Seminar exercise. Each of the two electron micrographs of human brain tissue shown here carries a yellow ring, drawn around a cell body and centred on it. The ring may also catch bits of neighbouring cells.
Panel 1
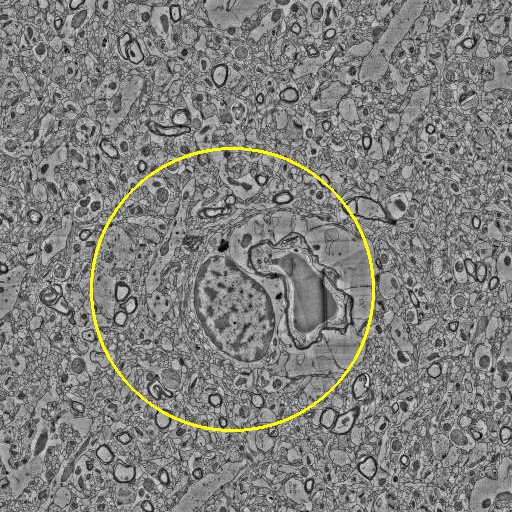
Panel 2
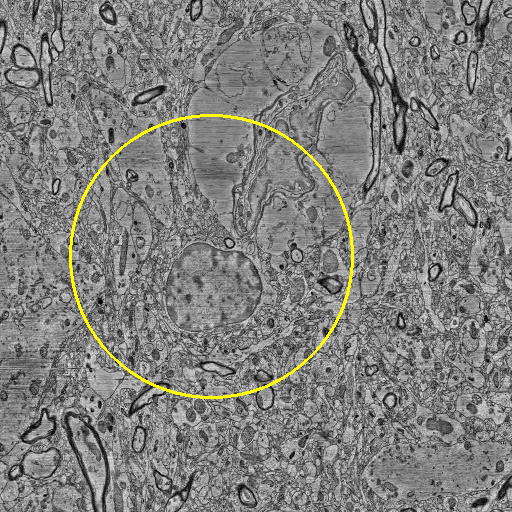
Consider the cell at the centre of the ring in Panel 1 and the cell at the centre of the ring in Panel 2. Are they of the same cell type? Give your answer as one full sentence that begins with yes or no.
Yes, both cells are of the same type.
